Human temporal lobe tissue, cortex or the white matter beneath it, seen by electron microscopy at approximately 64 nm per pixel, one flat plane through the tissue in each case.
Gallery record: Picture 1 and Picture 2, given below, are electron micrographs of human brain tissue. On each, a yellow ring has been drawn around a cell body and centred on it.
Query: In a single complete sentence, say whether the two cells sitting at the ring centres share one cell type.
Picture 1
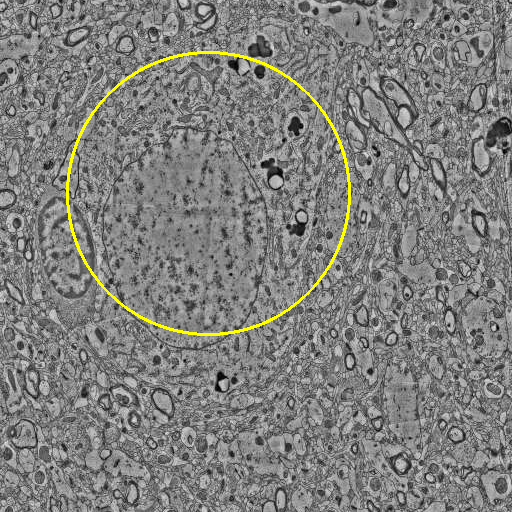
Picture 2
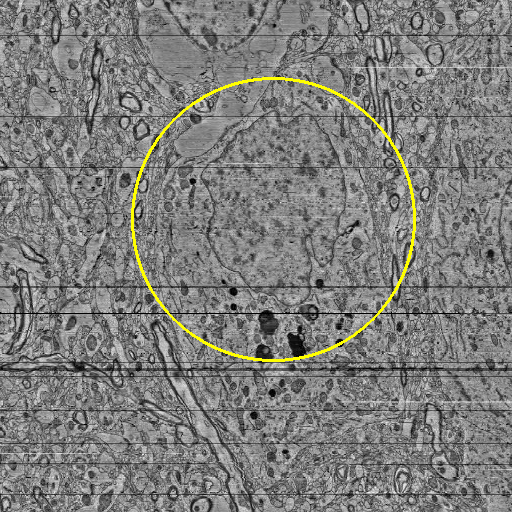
No, in the two pictures the cells at the rings' centres are of two separate types.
